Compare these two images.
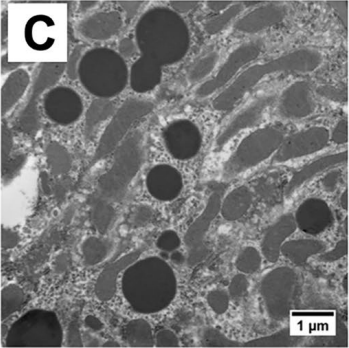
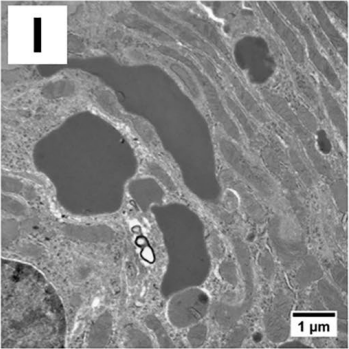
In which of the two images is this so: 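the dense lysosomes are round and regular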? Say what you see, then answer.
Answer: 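Second image: large electron-dense bodies with irregular, elongated shapes. First image: smaller electron-dense bodies with round outlines.
Conclusion: the first image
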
